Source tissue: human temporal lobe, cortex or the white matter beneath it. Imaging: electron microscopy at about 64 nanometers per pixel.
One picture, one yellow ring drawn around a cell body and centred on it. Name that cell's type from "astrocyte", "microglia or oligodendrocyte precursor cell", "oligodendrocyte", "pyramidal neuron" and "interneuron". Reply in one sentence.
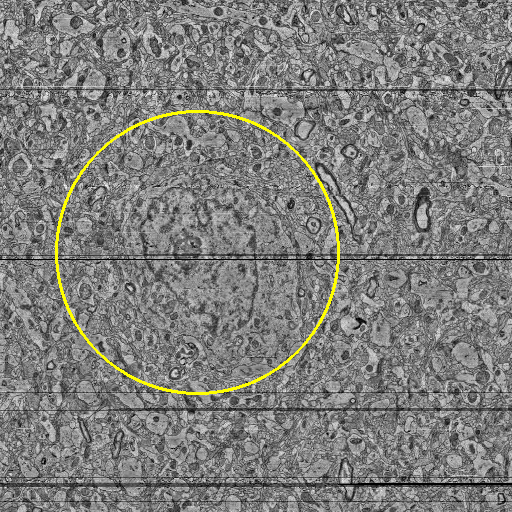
Centred in the ring is an interneuron.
